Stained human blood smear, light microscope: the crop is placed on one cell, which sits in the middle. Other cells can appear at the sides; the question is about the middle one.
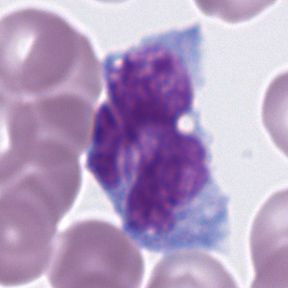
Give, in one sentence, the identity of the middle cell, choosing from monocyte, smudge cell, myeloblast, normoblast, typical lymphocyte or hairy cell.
Where the crop is centred, there is a monocyte.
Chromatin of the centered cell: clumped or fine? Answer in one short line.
Its chromatin is finely dispersed rather than coarsely clumped.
